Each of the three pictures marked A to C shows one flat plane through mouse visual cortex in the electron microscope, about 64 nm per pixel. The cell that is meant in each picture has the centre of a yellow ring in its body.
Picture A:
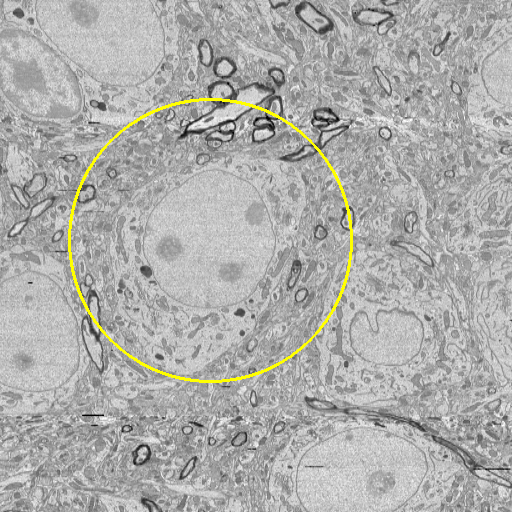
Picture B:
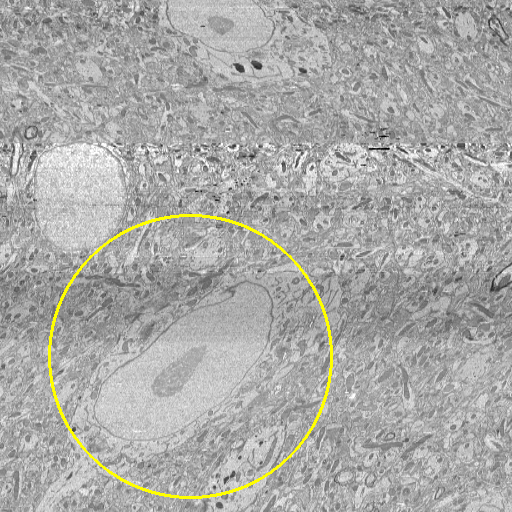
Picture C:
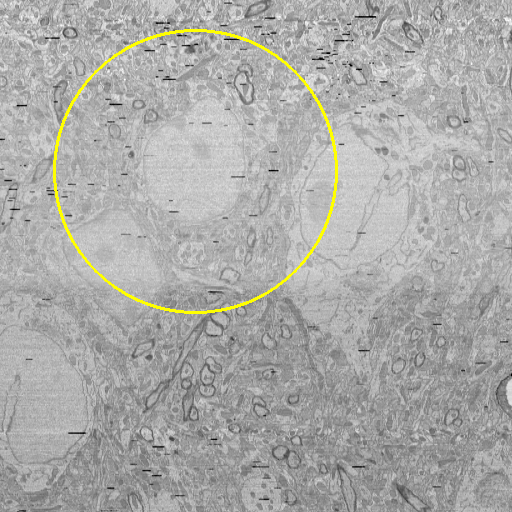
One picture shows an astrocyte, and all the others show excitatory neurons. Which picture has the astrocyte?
The picture with the astrocyte is C.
